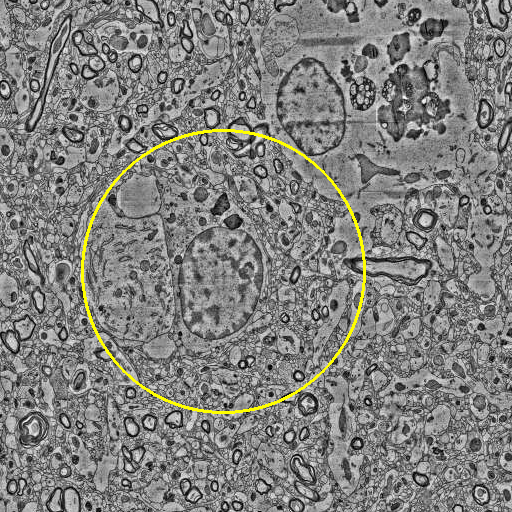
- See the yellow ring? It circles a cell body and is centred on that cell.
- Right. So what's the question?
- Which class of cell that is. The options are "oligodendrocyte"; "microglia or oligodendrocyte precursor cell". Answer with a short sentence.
The centre of the ring holds an oligodendrocyte.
